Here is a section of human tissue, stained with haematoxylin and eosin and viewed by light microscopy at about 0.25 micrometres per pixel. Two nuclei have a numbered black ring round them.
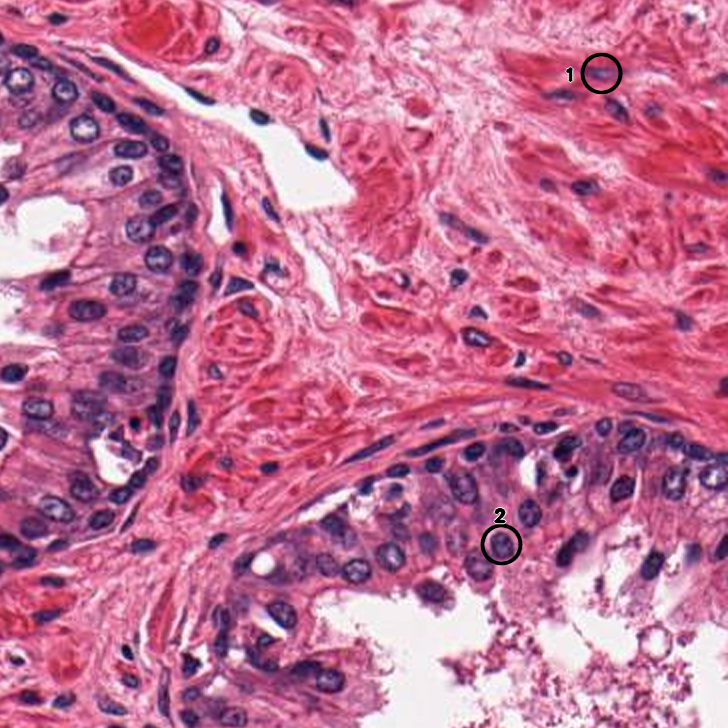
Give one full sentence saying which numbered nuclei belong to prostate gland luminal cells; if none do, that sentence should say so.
Within a prostate gland luminal cell lies nucleus 2, the only numbered nucleus to do so.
